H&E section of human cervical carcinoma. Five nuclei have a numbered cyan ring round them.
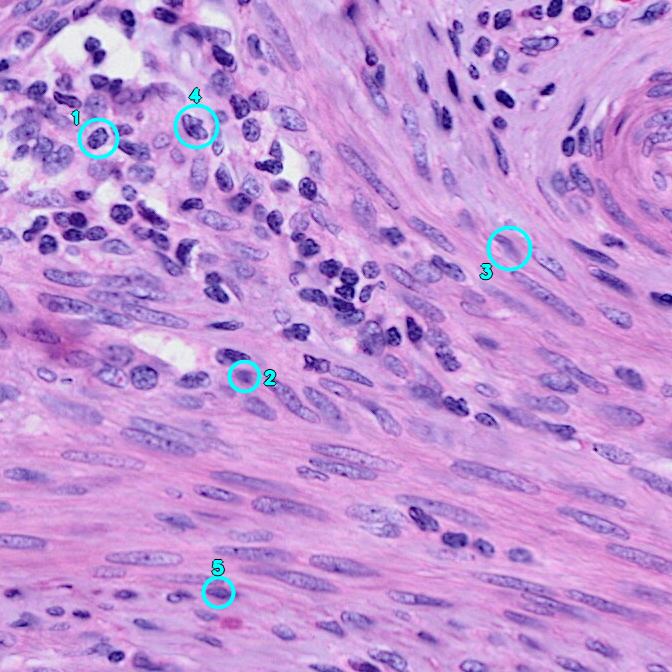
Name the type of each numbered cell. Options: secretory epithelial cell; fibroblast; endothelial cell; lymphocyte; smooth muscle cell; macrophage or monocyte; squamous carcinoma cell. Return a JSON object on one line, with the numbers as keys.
{"1": "lymphocyte", "2": "smooth muscle cell", "3": "smooth muscle cell", "4": "lymphocyte", "5": "smooth muscle cell"}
